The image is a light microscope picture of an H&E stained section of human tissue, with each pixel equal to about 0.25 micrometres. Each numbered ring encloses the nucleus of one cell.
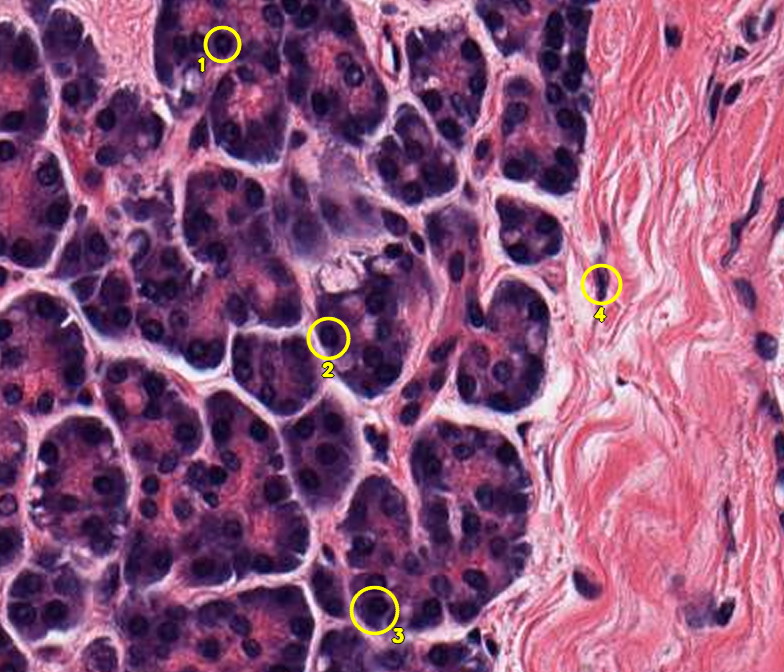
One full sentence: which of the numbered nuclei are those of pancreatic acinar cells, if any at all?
The cells holding nuclei 1, 2 and 3 are pancreatic acinar cells.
